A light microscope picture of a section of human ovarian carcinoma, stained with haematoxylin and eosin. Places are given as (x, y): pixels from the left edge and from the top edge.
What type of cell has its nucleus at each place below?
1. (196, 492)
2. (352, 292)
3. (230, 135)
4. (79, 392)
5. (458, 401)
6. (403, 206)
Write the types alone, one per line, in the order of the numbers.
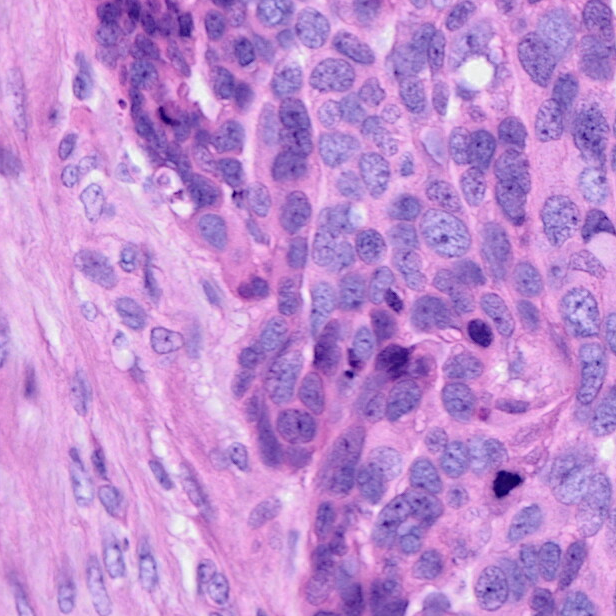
fibroblast
carcinoma cell
carcinoma cell
fibroblast
carcinoma cell
carcinoma cell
